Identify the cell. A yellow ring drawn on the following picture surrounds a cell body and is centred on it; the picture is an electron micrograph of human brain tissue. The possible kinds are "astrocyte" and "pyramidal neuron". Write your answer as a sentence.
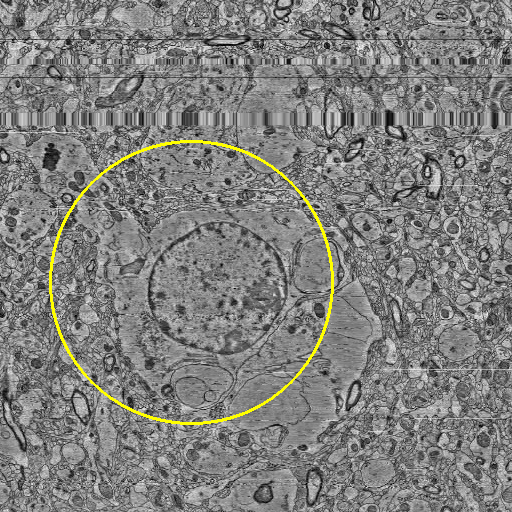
The cell identified by the ring is an astrocyte.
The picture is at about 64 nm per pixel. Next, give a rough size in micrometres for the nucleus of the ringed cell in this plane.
Roughly 9 micrometers across, in this plane.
